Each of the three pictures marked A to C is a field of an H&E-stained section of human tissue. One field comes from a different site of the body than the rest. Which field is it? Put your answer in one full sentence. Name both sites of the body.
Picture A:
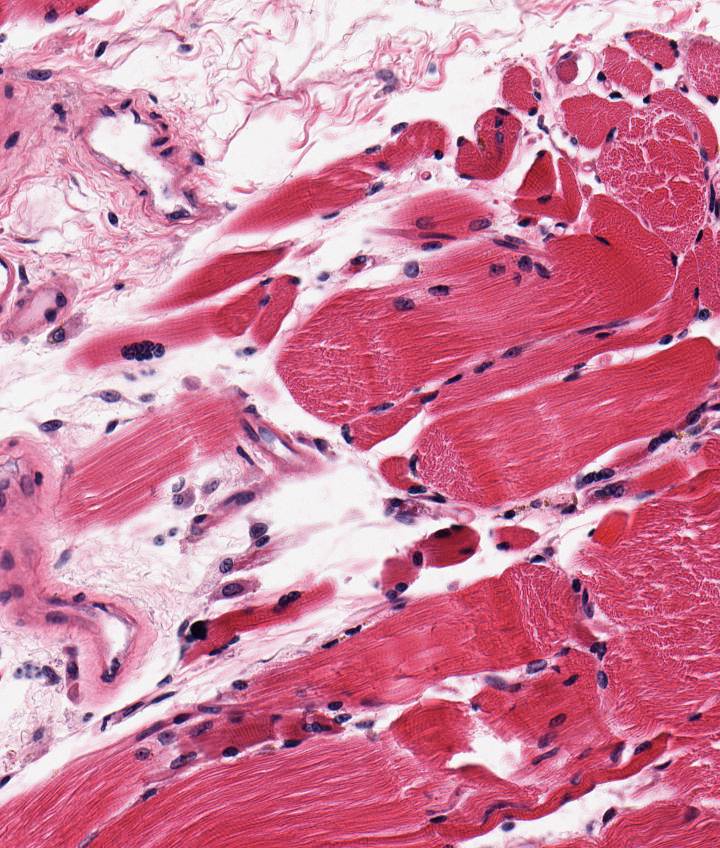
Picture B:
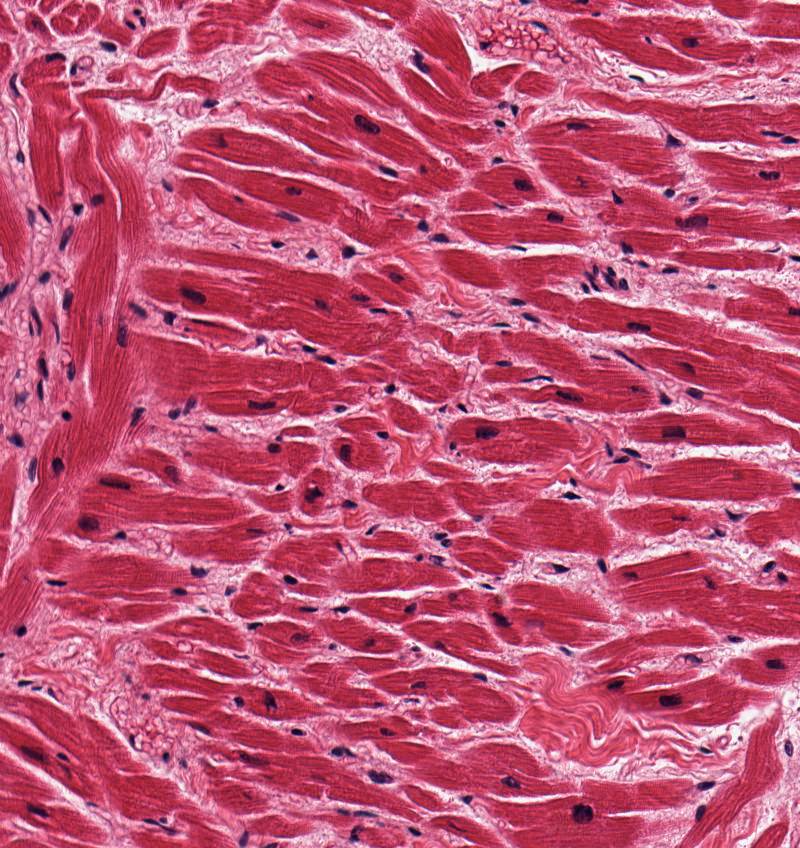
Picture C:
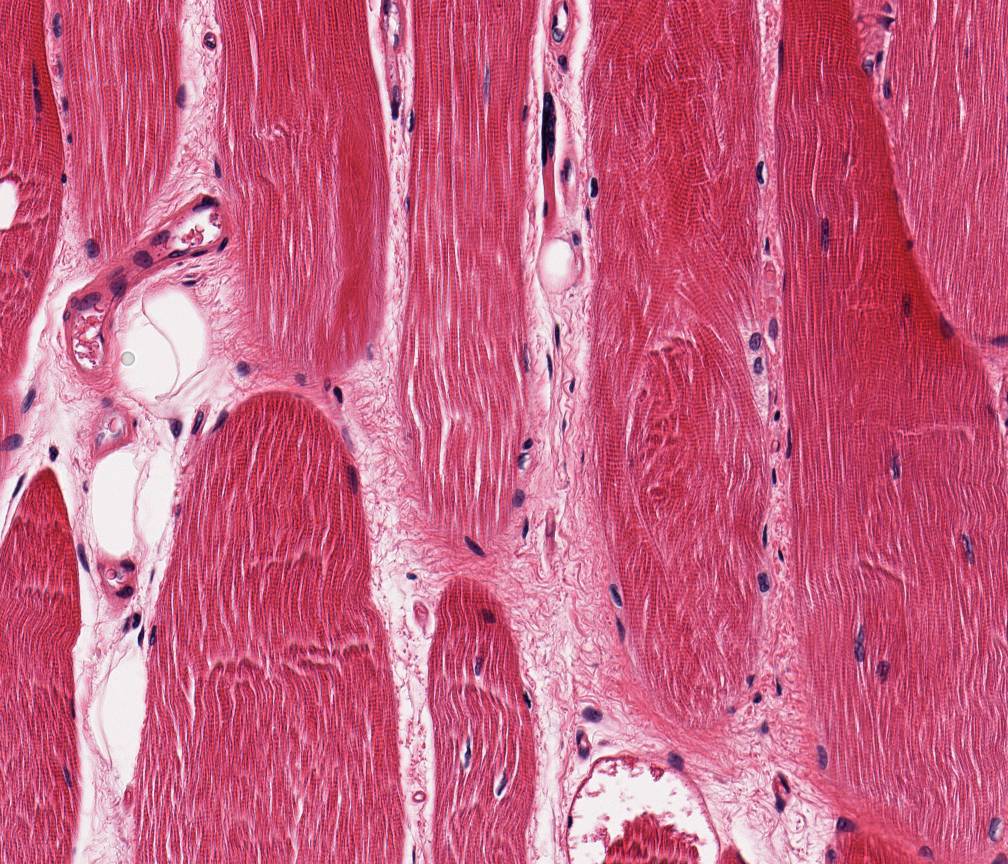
Picture B is the odd one out: it comes from the atrial appendage of the heart, while the others come from skeletal muscle.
